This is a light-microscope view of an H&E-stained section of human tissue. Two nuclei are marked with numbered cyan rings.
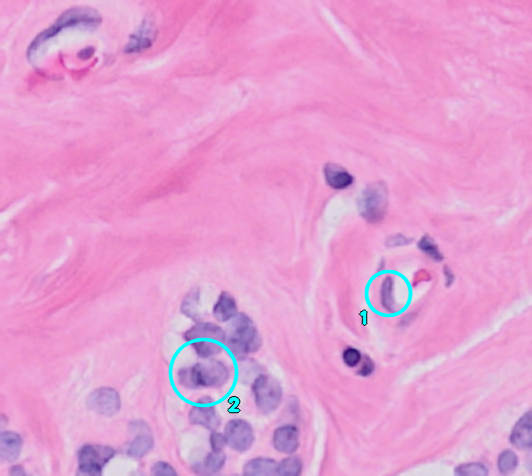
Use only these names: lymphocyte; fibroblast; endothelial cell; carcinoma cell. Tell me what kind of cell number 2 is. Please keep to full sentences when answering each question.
The cell pointed out by number 2 is a carcinoma cell.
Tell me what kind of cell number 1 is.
Number 1 among the marked cells is an endothelial cell.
